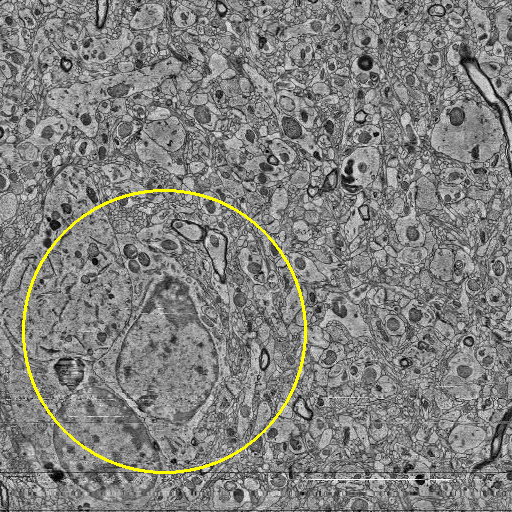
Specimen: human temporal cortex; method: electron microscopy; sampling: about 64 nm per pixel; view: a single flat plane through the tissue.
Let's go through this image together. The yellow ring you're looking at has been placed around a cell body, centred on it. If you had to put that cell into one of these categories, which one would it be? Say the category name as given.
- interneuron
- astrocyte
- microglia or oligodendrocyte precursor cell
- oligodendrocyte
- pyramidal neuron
microglia or oligodendrocyte precursor cell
